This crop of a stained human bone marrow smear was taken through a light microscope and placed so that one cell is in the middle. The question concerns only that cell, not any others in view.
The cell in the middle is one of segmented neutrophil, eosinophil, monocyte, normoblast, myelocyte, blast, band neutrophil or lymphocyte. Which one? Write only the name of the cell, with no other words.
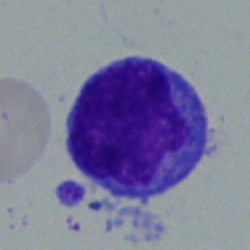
blast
